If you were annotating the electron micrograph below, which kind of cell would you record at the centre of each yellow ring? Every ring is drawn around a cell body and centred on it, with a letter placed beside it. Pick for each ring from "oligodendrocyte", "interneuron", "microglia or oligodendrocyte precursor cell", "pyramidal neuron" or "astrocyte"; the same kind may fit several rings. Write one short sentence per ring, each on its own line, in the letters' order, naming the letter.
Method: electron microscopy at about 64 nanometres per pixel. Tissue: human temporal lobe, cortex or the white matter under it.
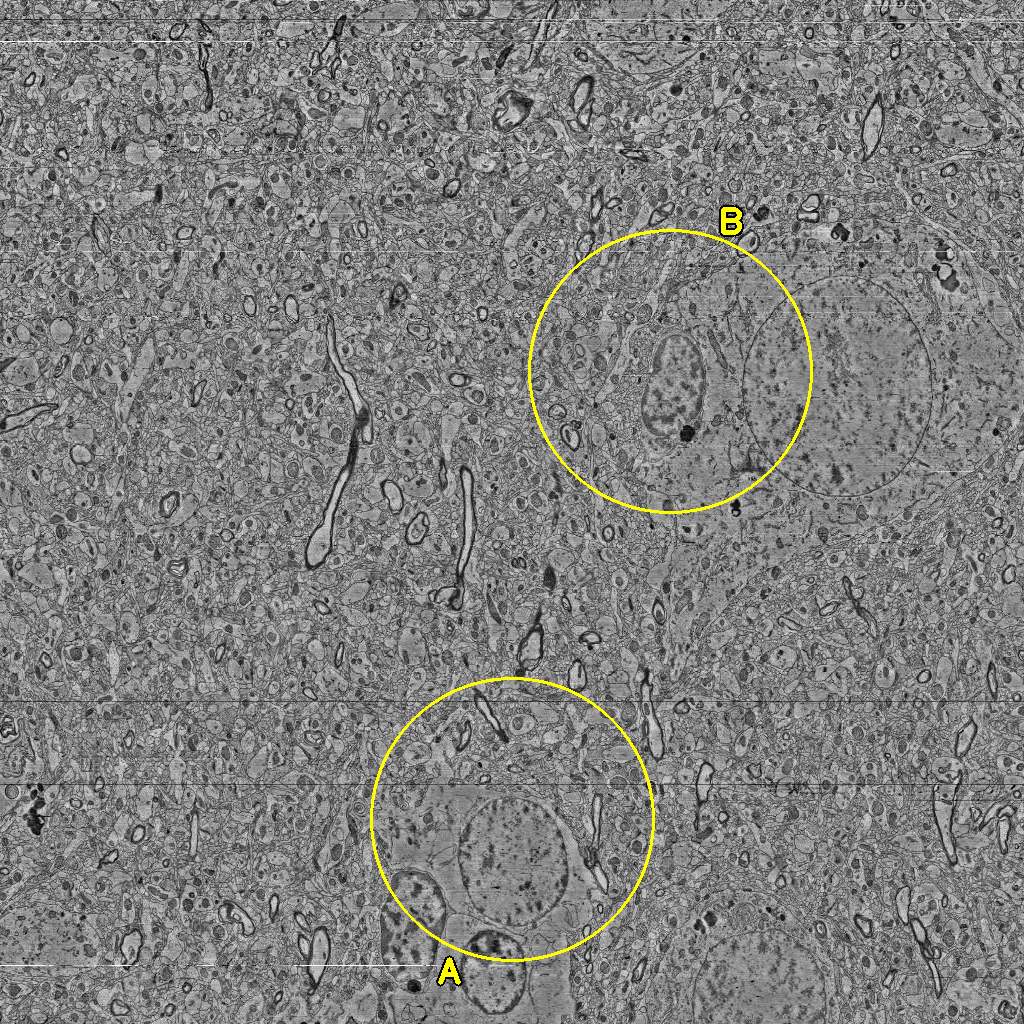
For ring A, I would record an astrocyte.
For ring B, I would record an oligodendrocyte.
